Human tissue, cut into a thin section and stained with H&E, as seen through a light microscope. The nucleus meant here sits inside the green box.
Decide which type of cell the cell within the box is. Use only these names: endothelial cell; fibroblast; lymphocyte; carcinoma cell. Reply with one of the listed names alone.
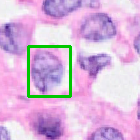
carcinoma cell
